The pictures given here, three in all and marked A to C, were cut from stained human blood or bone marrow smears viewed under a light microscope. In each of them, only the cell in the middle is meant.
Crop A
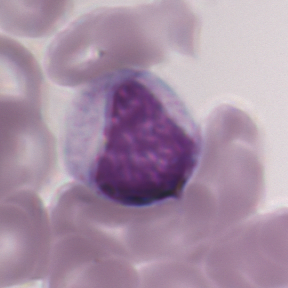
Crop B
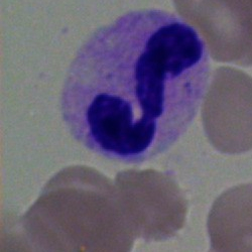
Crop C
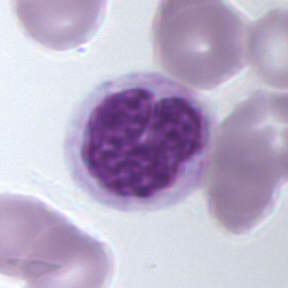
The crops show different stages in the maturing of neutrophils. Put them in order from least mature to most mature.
A, C, B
